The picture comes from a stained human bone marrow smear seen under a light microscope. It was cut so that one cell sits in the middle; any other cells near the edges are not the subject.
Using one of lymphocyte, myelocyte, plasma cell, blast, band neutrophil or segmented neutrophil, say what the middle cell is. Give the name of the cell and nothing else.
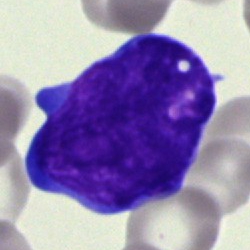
blast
